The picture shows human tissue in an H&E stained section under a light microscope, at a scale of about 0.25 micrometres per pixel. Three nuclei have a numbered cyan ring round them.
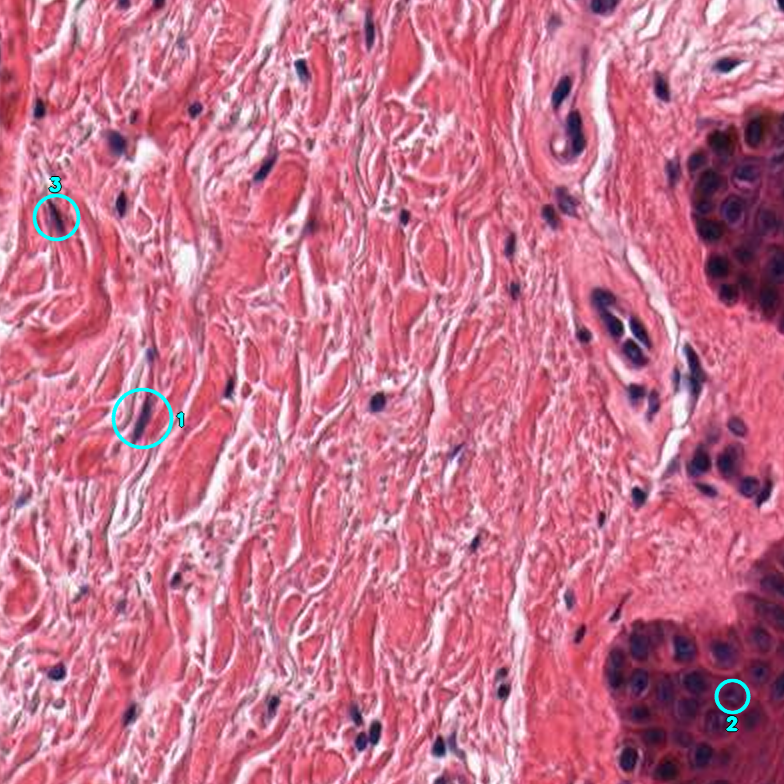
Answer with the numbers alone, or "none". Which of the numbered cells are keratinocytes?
2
